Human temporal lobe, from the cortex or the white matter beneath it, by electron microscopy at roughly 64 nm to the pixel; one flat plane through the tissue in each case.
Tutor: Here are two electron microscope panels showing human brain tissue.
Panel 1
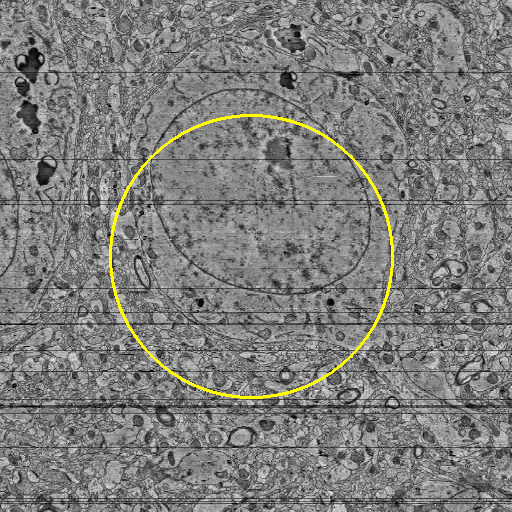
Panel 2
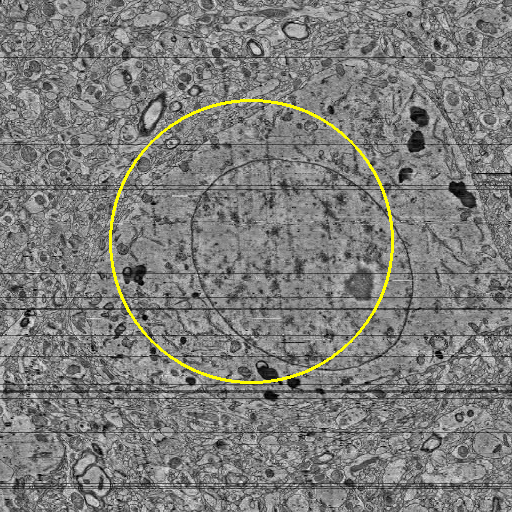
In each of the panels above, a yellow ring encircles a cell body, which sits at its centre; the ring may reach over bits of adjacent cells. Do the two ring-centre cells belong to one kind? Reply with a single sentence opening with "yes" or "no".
Yes, the two cells sitting at the ring centres in the panels belong to one kind.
